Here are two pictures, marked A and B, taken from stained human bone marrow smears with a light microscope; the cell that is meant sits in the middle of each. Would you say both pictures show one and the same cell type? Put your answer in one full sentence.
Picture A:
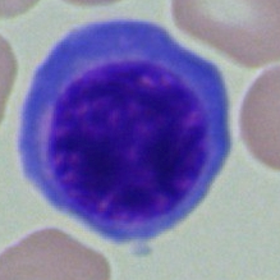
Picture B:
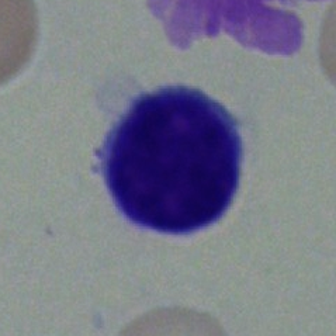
No; the cell in picture A is an erythroblast, while the one in picture B is a lymphocyte.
